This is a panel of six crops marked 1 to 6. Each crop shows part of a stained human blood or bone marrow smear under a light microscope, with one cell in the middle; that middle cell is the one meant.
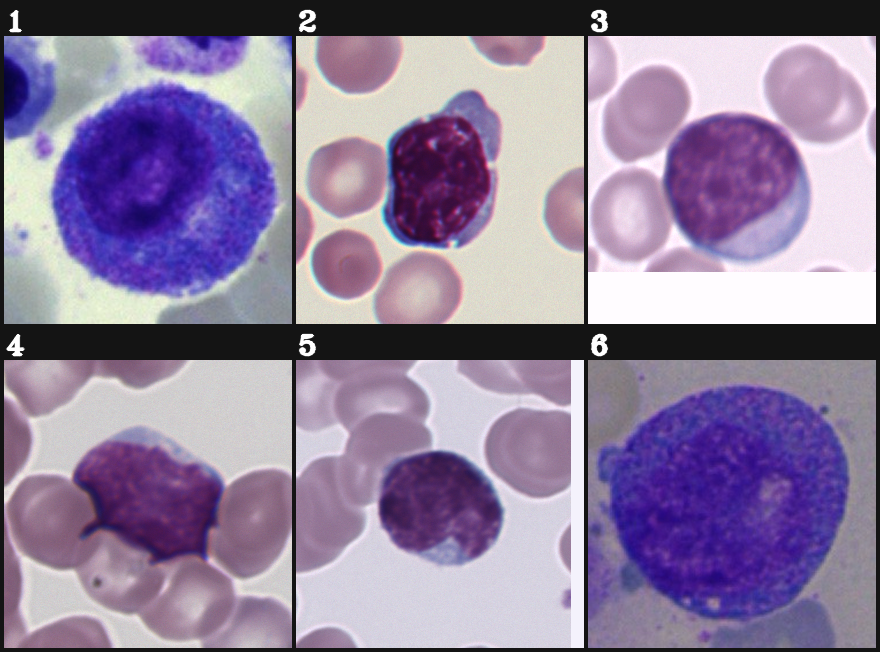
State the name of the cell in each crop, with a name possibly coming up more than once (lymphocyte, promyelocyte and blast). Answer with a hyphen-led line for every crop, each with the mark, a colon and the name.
- 1: promyelocyte
- 2: lymphocyte
- 3: blast
- 4: blast
- 5: lymphocyte
- 6: promyelocyte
